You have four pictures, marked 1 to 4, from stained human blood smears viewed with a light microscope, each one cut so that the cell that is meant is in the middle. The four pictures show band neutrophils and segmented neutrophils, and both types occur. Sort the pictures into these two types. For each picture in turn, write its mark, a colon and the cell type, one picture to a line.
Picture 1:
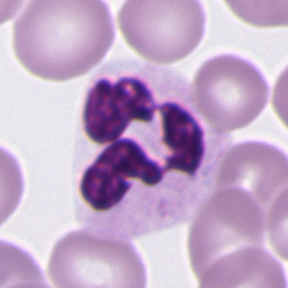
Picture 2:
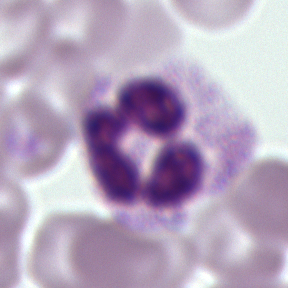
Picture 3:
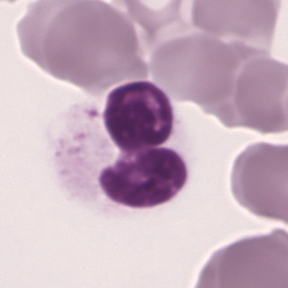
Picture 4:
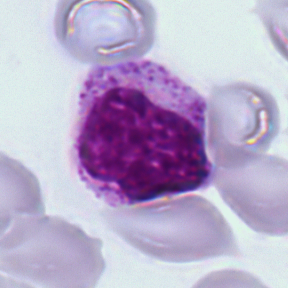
1: segmented neutrophil
2: segmented neutrophil
3: segmented neutrophil
4: band neutrophil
